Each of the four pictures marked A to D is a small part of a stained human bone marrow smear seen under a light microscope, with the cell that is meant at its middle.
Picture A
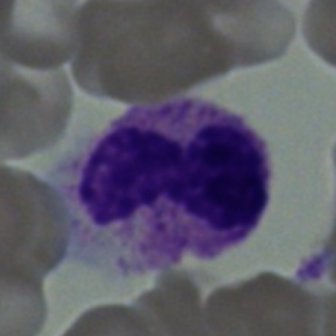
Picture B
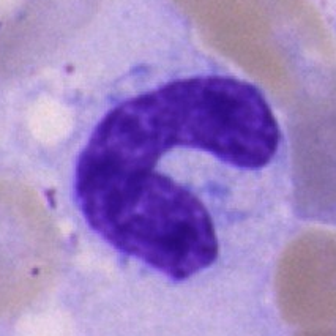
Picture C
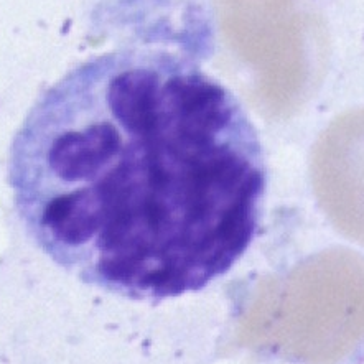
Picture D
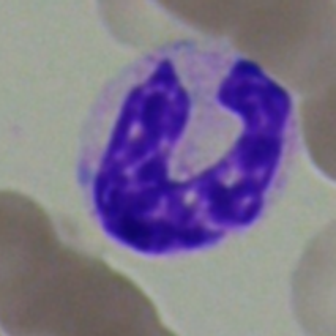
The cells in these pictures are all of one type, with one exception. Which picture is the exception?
C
